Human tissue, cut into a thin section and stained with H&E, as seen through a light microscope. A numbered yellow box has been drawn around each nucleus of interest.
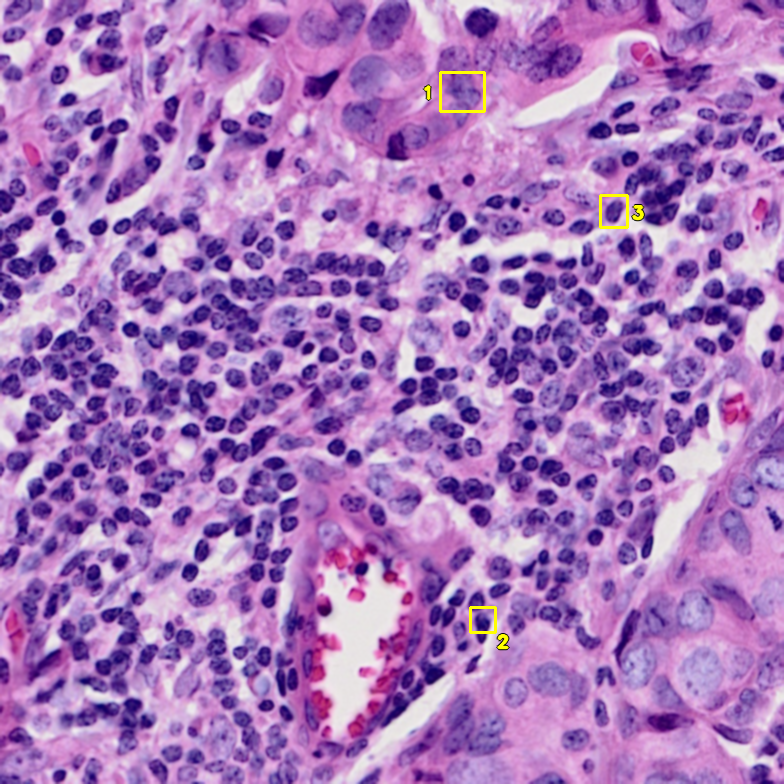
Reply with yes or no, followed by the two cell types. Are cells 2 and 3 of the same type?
Yes, cells 2 and 3 both qualify as lymphocytes.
